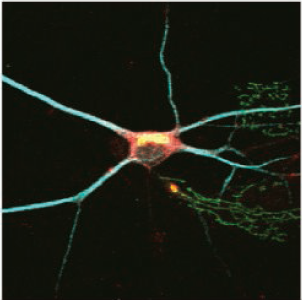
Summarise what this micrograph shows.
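The cell body shows red and whitish fluorescence, with red faintly following the proximal processes. A small red dot lies below the cell body. The background is dark, and the neuron's processes form a star-like arrangement around the cell body.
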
